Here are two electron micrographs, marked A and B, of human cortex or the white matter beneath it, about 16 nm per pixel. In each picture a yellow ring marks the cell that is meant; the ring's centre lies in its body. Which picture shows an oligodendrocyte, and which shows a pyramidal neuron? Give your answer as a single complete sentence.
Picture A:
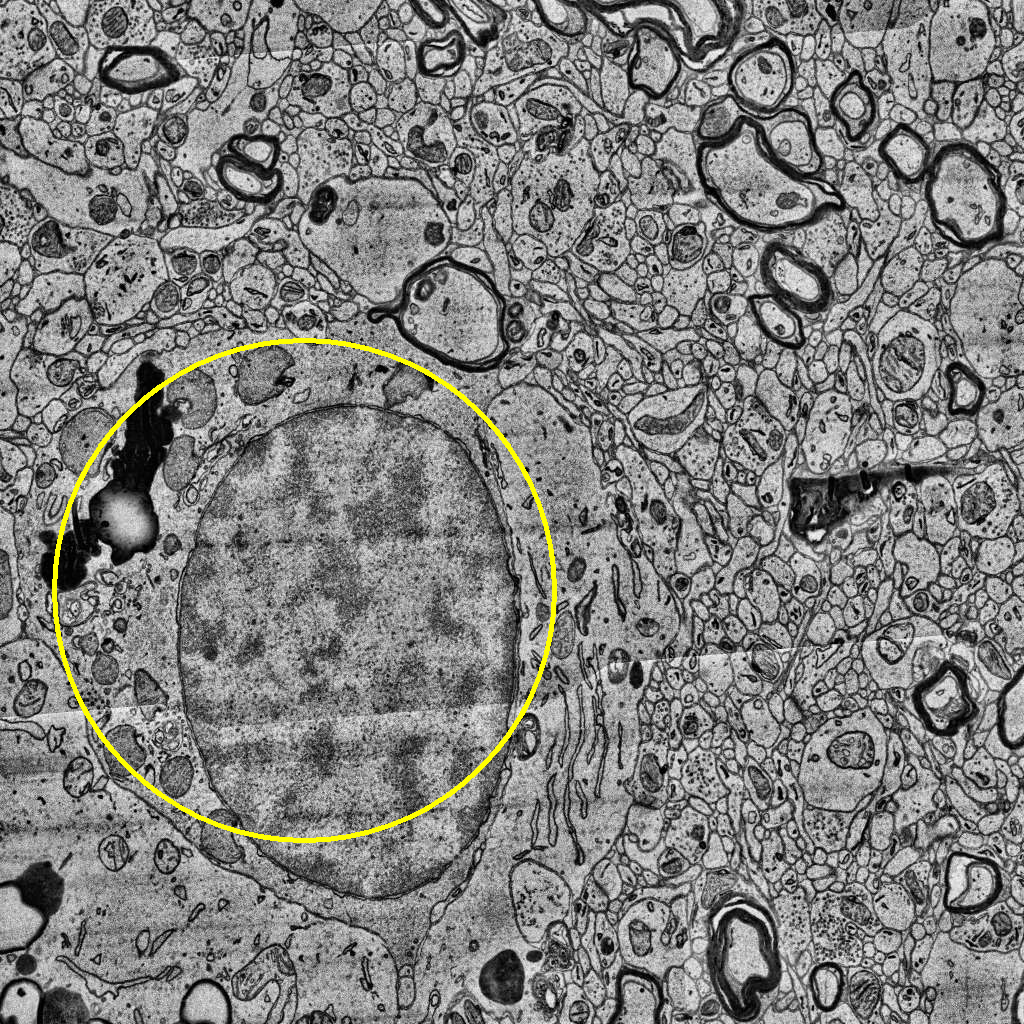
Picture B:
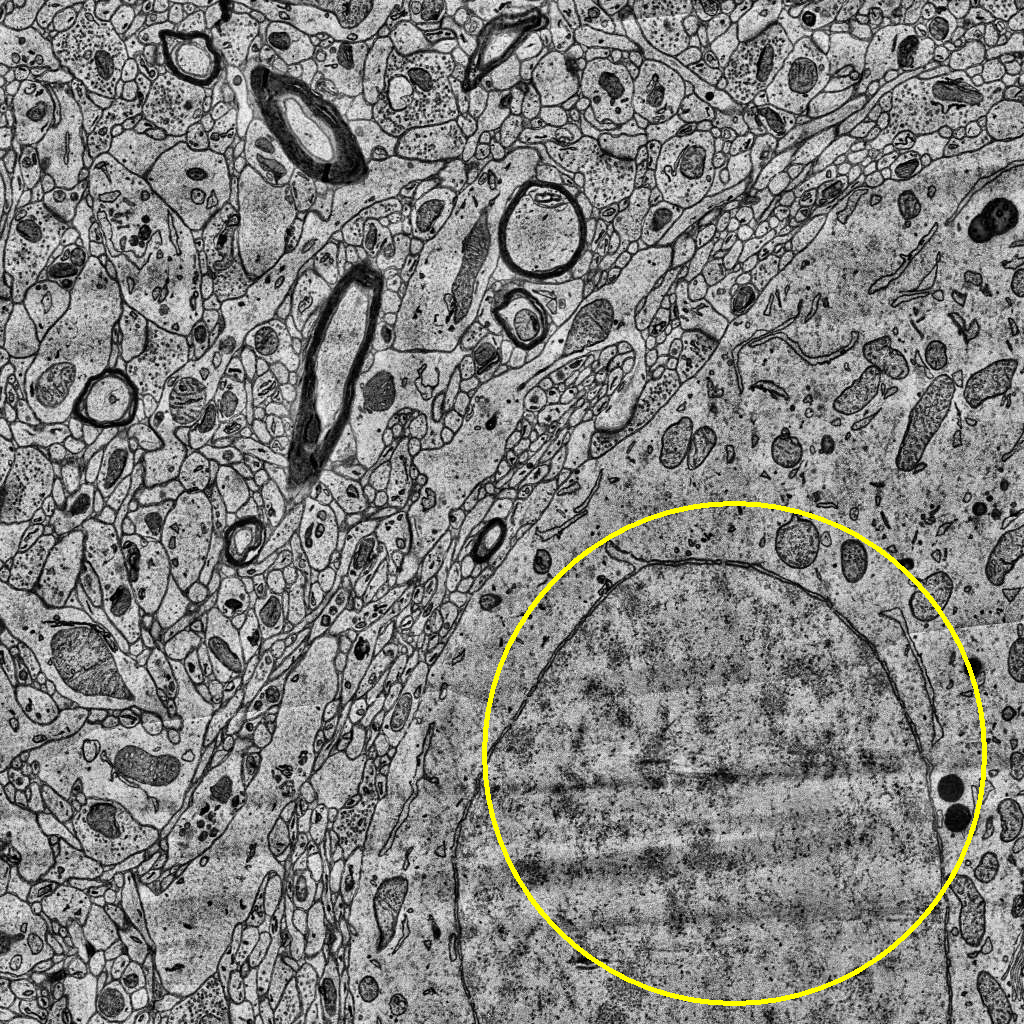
In picture A the cell is an oligodendrocyte; in picture B, a pyramidal neuron.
